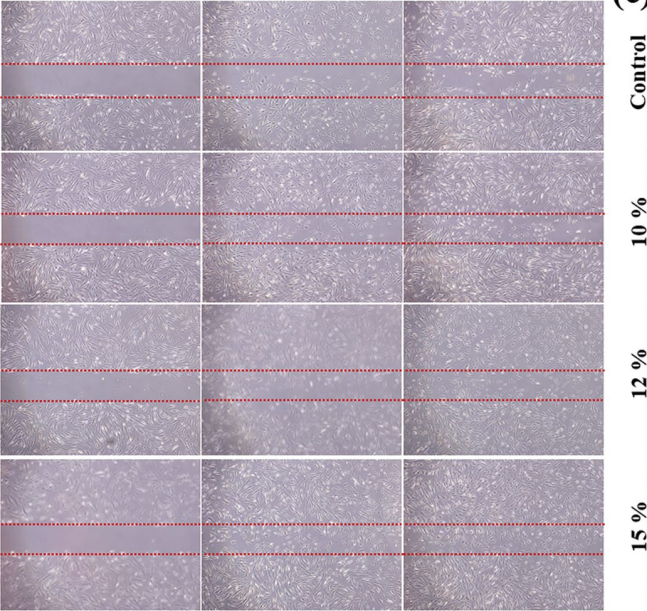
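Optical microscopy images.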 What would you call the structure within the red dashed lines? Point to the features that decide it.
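In each image two parallel horizontal red dashed lines run across a cell monolayer. In the left column the band between the lines is nearly free of cells. The cell sheet lies above and below the band. The answer: the scratch.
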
